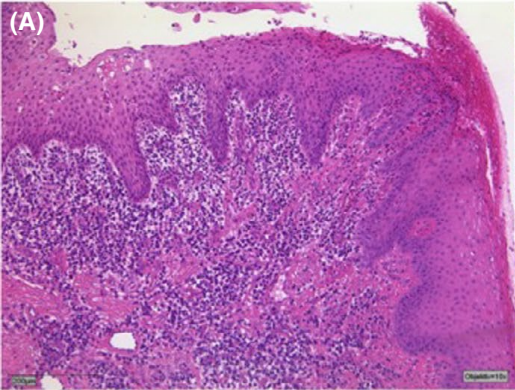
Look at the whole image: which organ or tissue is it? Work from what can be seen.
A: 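Squamous epithelium. A stratified layer of pink polygonal cells covers the surface. The layer sends rete ridges down into the underlying tissue.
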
